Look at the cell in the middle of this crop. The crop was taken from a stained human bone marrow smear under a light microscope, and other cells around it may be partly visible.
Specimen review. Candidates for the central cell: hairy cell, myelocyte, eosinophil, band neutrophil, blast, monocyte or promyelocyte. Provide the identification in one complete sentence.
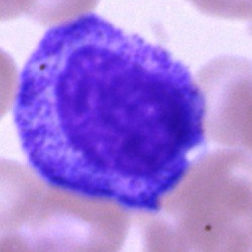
As for the central cell, it is a promyelocyte.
